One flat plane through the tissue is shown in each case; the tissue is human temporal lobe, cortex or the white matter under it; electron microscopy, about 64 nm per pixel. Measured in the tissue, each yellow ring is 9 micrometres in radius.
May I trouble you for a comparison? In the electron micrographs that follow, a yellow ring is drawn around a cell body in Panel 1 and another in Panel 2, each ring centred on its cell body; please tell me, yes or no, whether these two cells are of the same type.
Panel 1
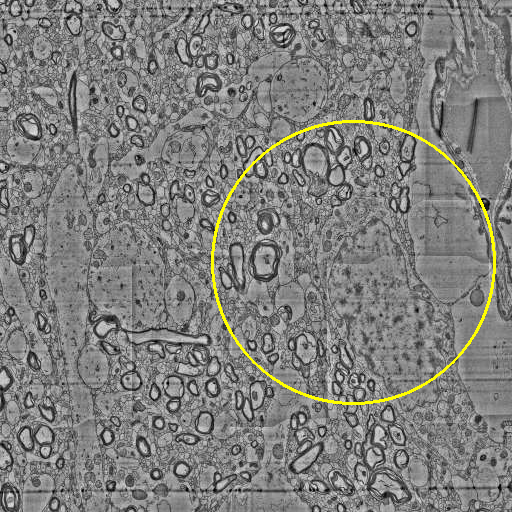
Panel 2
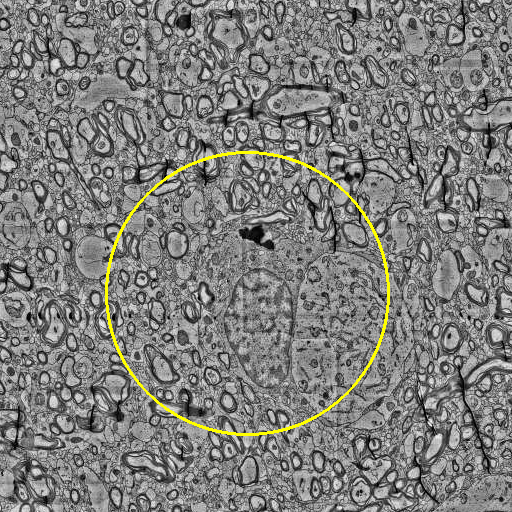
no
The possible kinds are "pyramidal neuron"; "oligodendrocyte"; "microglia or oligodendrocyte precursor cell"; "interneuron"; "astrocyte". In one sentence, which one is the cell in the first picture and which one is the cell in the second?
The cell ringed in the second picture is an oligodendrocyte, whereas the one ringed in the first is an interneuron.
